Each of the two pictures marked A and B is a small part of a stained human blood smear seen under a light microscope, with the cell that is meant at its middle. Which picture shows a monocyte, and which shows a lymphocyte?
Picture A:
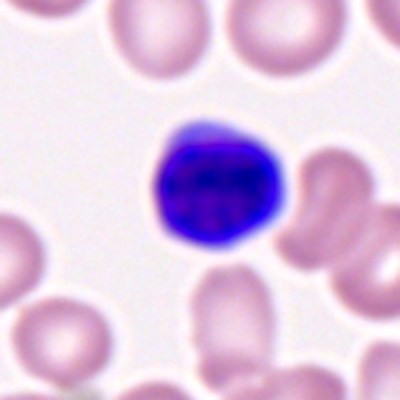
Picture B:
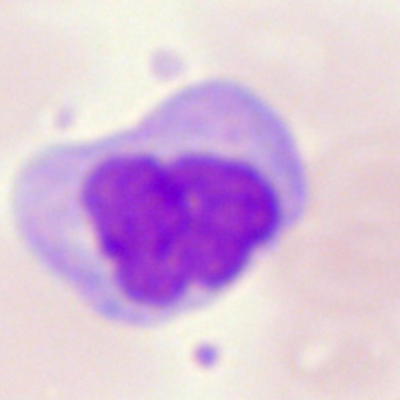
A: lymphocyte
B: monocyte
